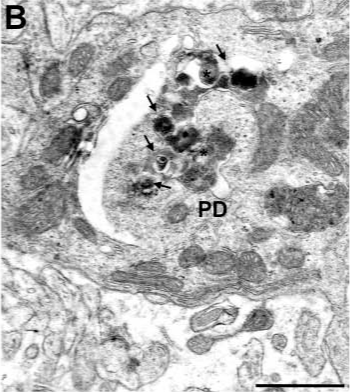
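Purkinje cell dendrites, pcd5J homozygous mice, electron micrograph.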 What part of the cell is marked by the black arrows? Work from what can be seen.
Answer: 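Small round profiles enclosed by two membranes lie inside the dendrite. Several of them contain dark, dense material.
Double-membrane bound structures.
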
